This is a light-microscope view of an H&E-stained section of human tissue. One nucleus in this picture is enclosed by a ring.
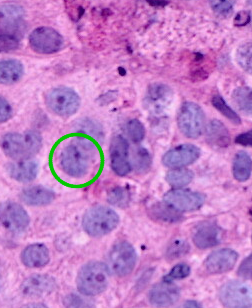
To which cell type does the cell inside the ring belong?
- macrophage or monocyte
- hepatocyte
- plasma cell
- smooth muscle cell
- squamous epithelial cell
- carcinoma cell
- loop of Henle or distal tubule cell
carcinoma cell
